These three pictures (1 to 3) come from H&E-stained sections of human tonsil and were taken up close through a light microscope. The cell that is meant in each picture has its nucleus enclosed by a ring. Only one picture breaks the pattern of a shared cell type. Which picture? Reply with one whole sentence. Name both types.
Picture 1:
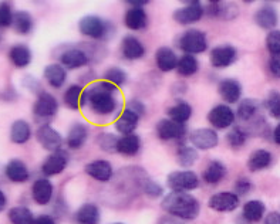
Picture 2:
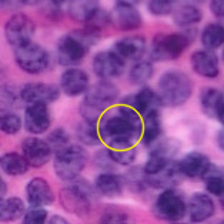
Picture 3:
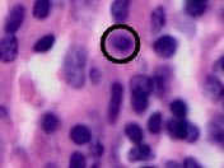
All pictures except 3 show small lymphocytes; picture 3 shows an endothelial cell.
